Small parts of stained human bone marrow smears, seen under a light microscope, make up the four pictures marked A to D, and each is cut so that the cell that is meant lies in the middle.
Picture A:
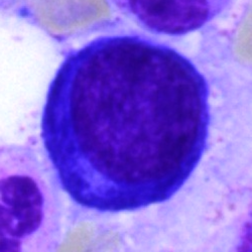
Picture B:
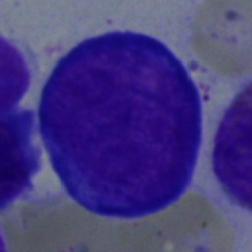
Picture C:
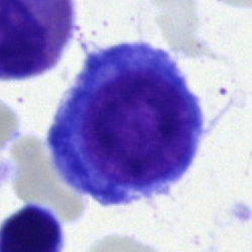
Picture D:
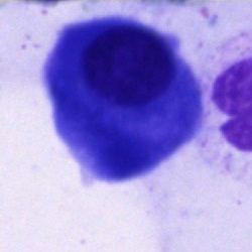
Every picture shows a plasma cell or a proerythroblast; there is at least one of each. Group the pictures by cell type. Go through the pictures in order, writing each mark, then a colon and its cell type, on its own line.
A: proerythroblast
B: proerythroblast
C: proerythroblast
D: plasma cell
